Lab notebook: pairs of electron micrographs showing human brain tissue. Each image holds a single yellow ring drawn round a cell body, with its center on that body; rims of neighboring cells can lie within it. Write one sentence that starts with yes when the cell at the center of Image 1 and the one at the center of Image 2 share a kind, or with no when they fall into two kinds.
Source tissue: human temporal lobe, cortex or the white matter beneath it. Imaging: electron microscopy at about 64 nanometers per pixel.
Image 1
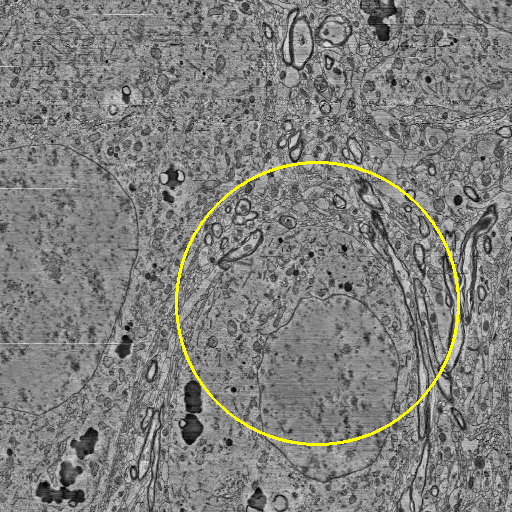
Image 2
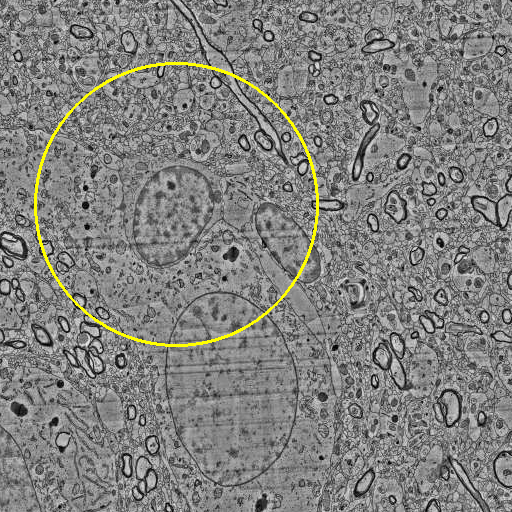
No, the centered cell in Image 1 and the centered cell in Image 2 are of two kinds.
